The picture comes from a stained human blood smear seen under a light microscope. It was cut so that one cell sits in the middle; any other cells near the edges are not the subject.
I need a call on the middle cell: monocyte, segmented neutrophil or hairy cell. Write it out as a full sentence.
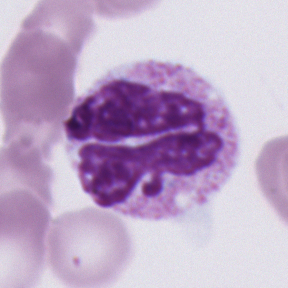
The centered cell in this crop is a segmented neutrophil.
